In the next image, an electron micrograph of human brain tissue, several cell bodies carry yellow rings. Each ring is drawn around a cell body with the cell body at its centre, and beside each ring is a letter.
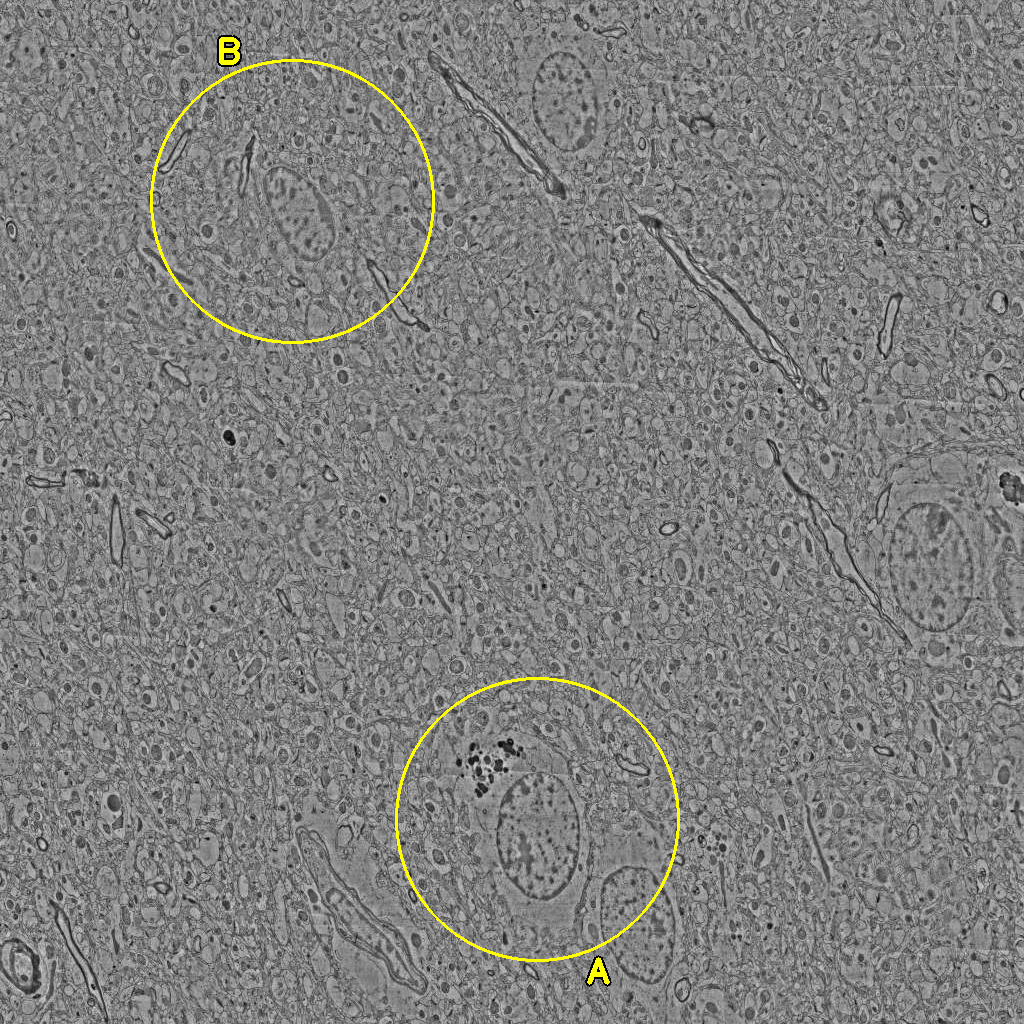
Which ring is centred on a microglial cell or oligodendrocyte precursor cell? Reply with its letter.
B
